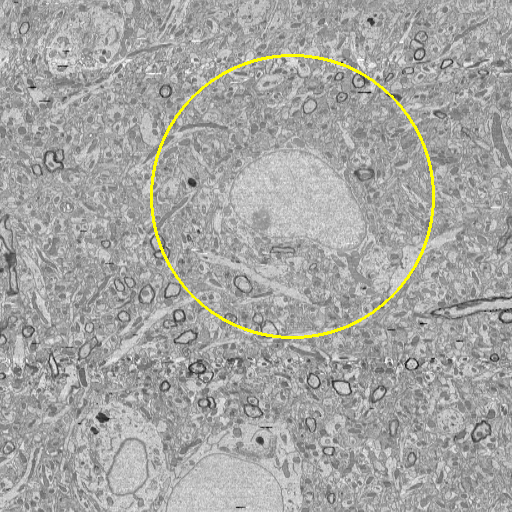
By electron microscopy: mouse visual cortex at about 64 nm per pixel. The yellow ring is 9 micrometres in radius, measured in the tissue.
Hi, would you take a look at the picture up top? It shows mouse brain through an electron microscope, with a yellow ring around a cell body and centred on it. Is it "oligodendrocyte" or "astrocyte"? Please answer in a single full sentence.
The best fit for the cell in the middle of the ring is an astrocyte, I reckon.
